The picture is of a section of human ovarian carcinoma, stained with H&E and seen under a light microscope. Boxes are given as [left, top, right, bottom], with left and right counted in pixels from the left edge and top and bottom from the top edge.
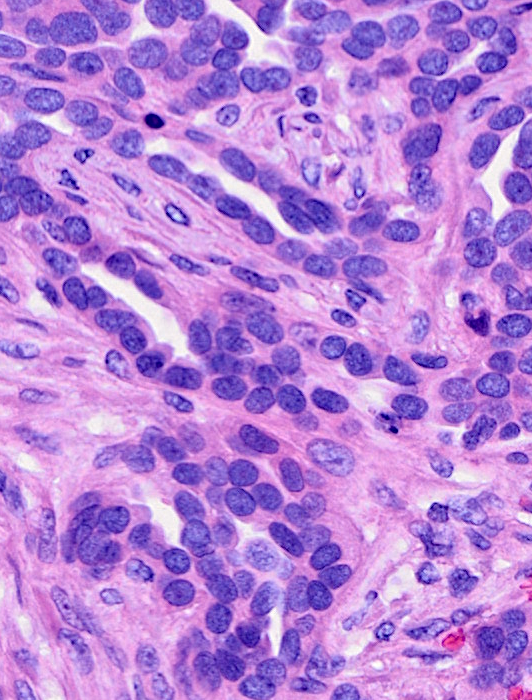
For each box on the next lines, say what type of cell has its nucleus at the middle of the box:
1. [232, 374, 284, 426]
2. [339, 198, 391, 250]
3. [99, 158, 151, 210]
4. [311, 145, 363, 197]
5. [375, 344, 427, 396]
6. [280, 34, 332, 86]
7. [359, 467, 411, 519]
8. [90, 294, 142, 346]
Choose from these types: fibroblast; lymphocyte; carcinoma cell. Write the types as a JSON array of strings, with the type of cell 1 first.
["carcinoma cell", "carcinoma cell", "fibroblast", "fibroblast", "carcinoma cell", "carcinoma cell", "fibroblast", "carcinoma cell"]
